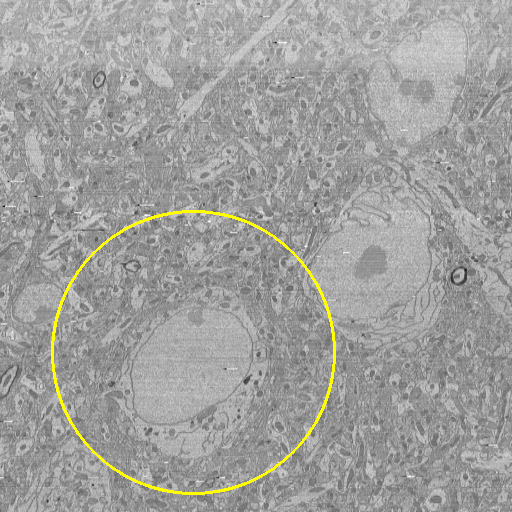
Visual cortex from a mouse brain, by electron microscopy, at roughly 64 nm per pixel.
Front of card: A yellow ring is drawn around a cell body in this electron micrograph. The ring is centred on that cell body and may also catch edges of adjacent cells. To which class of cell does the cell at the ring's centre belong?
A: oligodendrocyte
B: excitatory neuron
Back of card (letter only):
B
